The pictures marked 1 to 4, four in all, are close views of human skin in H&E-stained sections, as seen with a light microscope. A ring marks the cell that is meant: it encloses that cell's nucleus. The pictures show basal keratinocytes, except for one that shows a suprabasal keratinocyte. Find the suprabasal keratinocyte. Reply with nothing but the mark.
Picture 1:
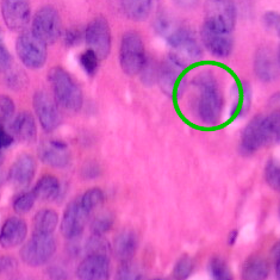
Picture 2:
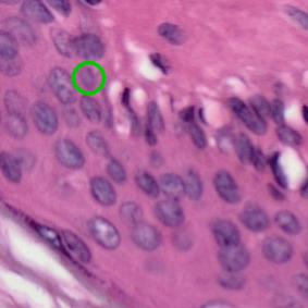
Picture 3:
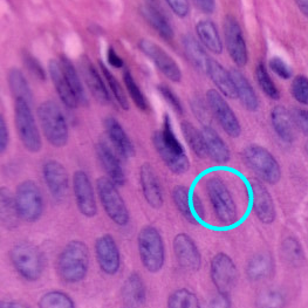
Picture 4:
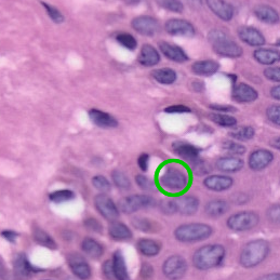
3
